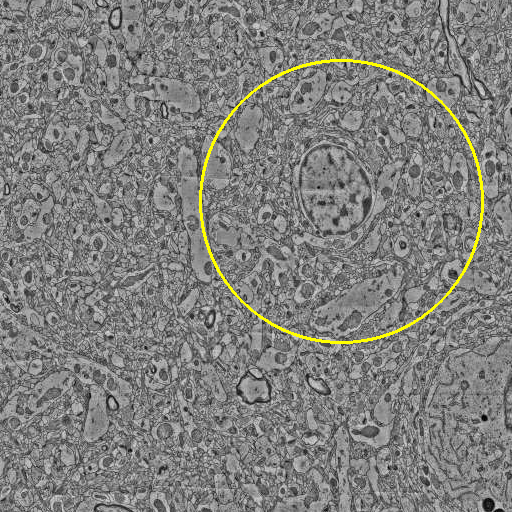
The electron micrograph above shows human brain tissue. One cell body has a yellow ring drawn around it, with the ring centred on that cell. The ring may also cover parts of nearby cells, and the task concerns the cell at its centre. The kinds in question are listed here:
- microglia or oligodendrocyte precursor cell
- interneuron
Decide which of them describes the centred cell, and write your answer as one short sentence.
The centred cell is a microglial cell or oligodendrocyte precursor cell.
